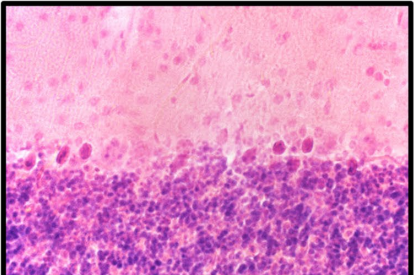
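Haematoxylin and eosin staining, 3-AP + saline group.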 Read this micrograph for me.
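The section shows a pale pink molecular layer above a granular layer crowded with small dark purple nuclei, with Purkinje cells at their border. The Purkinje cell bodies are few and scattered, leaving wide gaps in their row, and their arrangement is less regular than an orderly single line.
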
